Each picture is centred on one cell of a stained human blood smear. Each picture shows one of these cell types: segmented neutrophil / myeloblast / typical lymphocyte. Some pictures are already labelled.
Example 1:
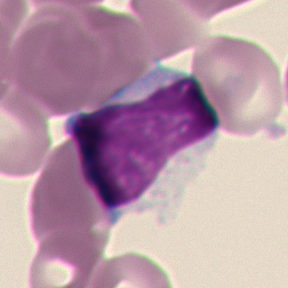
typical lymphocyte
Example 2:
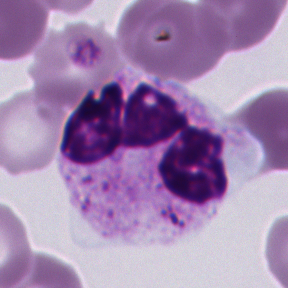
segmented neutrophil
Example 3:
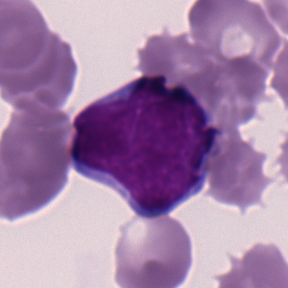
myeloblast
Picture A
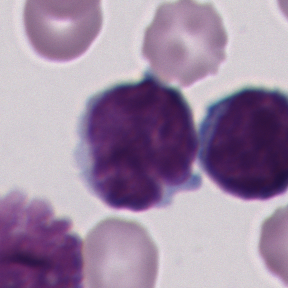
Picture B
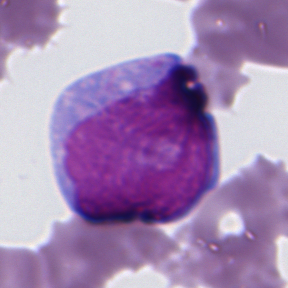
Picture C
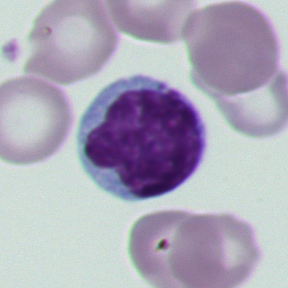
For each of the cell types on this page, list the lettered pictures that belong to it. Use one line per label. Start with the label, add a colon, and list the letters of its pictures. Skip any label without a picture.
myeloblast: B
typical lymphocyte: A, C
